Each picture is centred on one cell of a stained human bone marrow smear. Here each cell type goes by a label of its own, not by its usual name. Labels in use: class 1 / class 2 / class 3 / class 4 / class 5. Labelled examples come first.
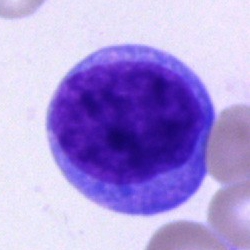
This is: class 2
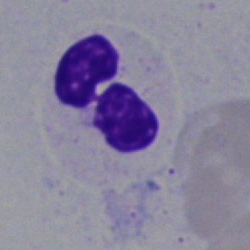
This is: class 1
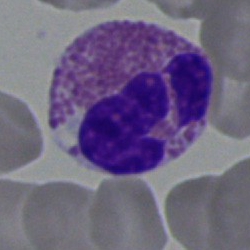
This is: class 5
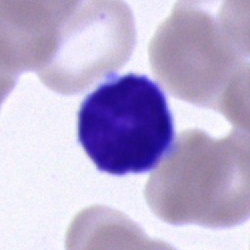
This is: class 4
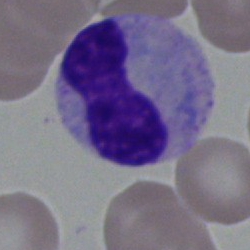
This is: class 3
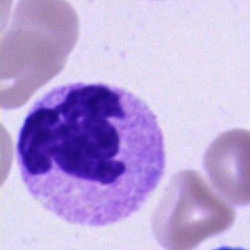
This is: class 1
